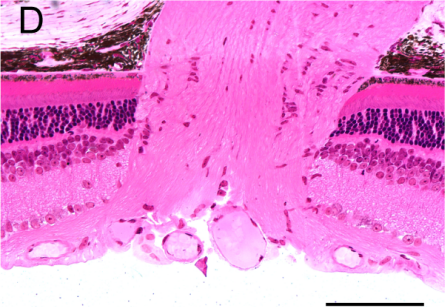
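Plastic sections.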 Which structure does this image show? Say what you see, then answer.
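A broad pink band of fibres passes through a gap in the layered retina. The retinal nuclear layers and the black pigmented layer stop on either side of the fibre band. The fibre band runs out through the back of the eye wall. On this evidence: optic nerve head.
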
